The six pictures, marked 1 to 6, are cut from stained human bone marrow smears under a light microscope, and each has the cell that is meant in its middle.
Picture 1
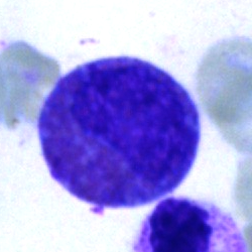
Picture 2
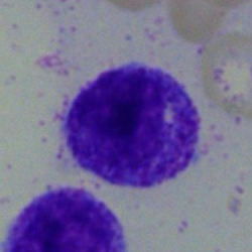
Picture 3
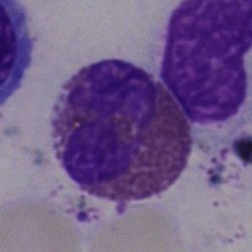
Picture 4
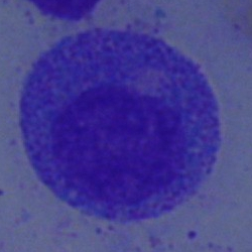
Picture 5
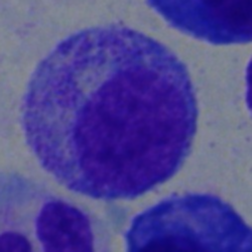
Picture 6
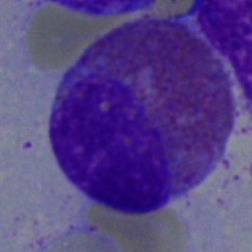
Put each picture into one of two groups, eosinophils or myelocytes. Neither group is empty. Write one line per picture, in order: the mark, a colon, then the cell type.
1: eosinophil
2: myelocyte
3: eosinophil
4: myelocyte
5: myelocyte
6: eosinophil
